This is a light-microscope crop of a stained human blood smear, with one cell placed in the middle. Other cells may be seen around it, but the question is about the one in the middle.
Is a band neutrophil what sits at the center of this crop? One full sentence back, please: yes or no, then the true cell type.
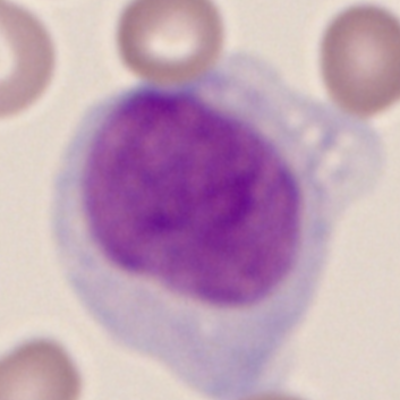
No, mark the middle cell as a monocyte, not a band neutrophil.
